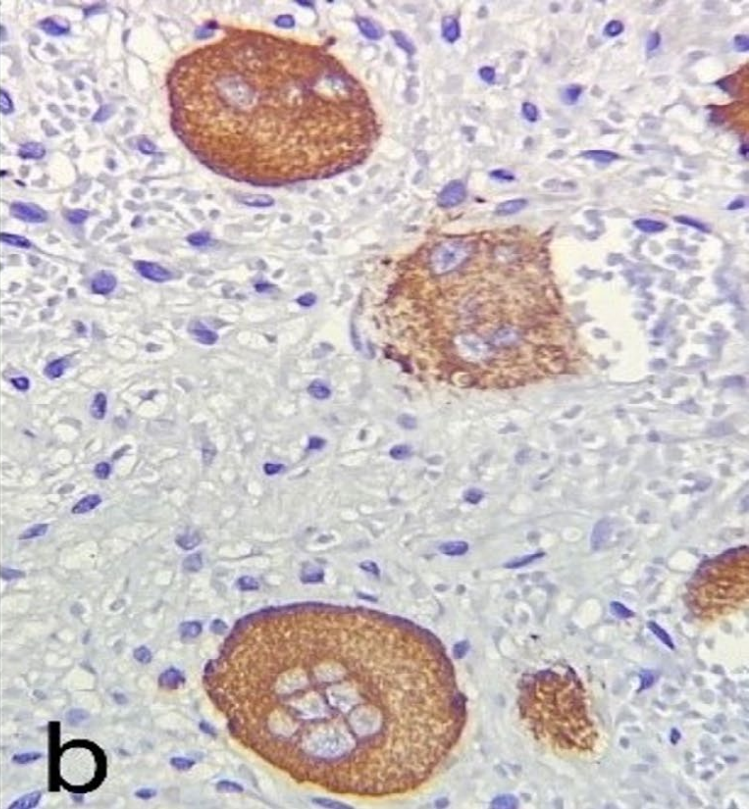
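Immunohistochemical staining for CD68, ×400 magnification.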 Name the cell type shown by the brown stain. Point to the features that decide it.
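Large rounded cells many times the size of the surrounding cells have brown-stained cytoplasm. The surrounding small oval and spindle cells have blue nuclei and are unstained. That points to this answer: giant cells.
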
